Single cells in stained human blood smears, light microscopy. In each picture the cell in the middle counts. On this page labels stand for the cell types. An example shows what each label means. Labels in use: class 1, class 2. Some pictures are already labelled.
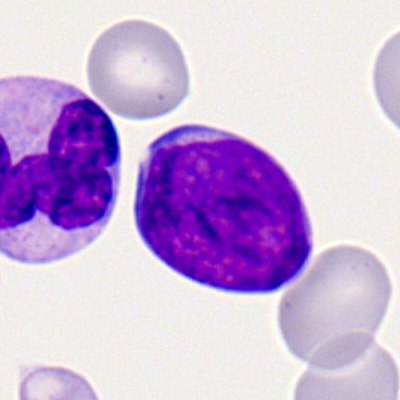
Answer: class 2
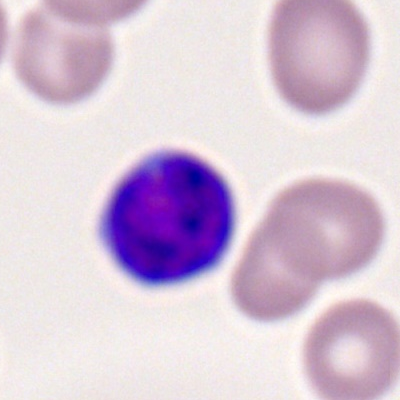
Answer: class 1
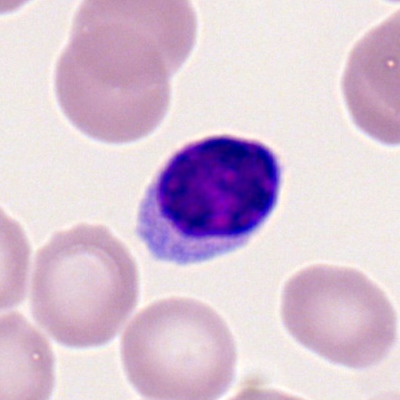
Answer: class 1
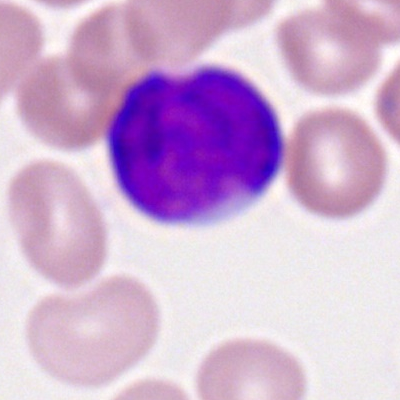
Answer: class 2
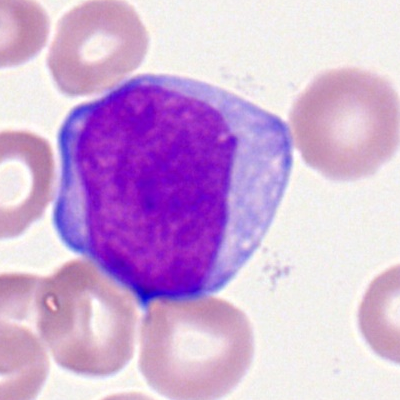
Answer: class 2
